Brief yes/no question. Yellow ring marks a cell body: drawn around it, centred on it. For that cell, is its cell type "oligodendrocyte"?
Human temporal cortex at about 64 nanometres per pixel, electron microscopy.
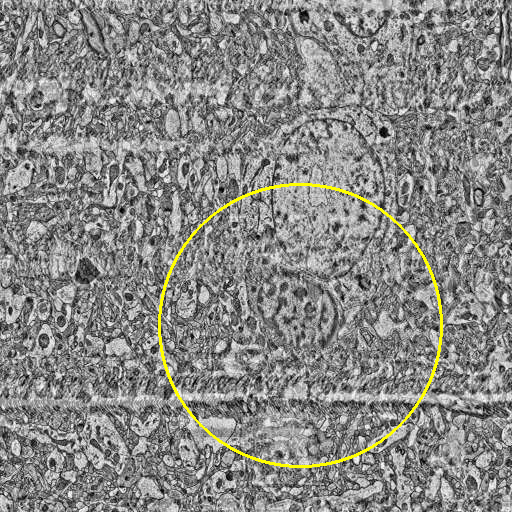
Yes, that is the cell type.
